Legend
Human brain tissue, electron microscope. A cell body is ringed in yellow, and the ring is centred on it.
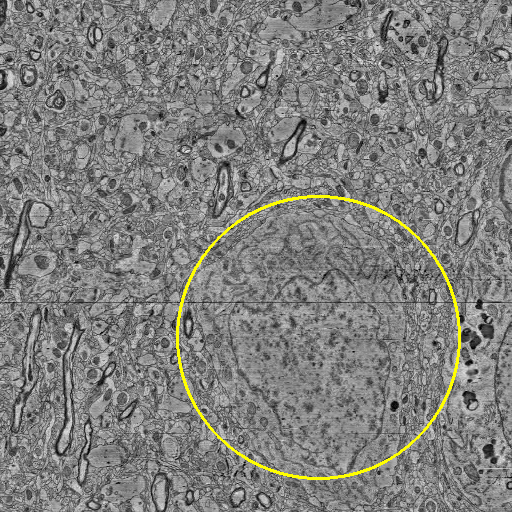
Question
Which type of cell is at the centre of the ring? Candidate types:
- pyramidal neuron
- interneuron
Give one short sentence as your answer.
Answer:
The yellow ring is centred here on an interneuron.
